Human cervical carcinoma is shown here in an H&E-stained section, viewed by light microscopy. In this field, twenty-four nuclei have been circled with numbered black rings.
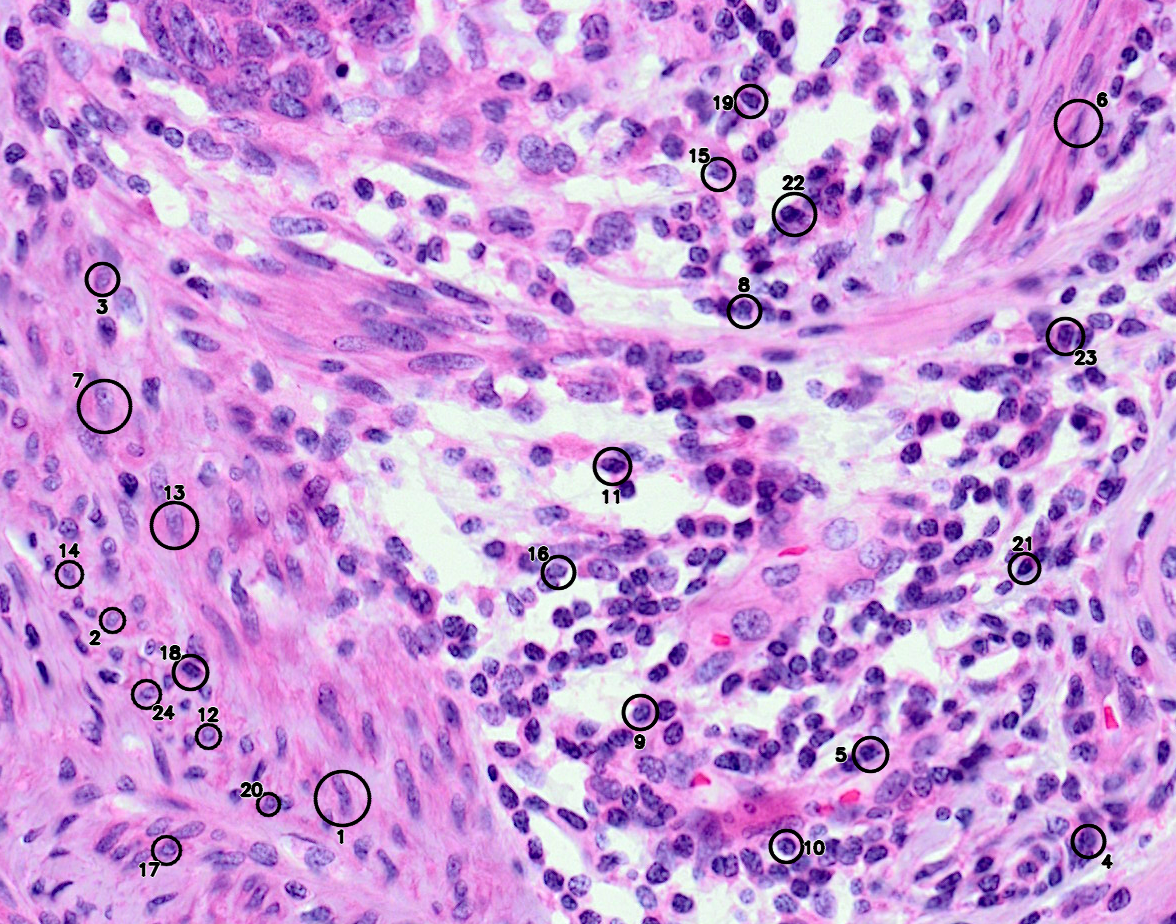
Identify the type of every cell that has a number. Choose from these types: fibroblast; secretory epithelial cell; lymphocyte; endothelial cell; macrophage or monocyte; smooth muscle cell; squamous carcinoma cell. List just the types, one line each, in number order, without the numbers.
smooth muscle cell
smooth muscle cell
smooth muscle cell
lymphocyte
lymphocyte
smooth muscle cell
smooth muscle cell
lymphocyte
lymphocyte
lymphocyte
lymphocyte
smooth muscle cell
smooth muscle cell
smooth muscle cell
lymphocyte
lymphocyte
smooth muscle cell
lymphocyte
lymphocyte
smooth muscle cell
lymphocyte
lymphocyte
lymphocyte
smooth muscle cell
